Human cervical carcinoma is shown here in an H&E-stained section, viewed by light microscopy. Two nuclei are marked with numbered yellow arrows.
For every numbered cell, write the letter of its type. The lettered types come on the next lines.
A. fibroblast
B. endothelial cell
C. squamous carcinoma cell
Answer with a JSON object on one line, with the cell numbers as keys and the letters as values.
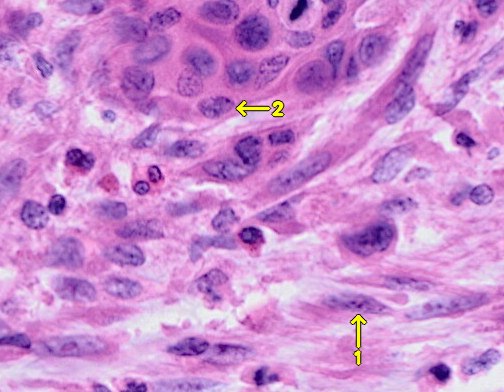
{"1": "A", "2": "C"}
